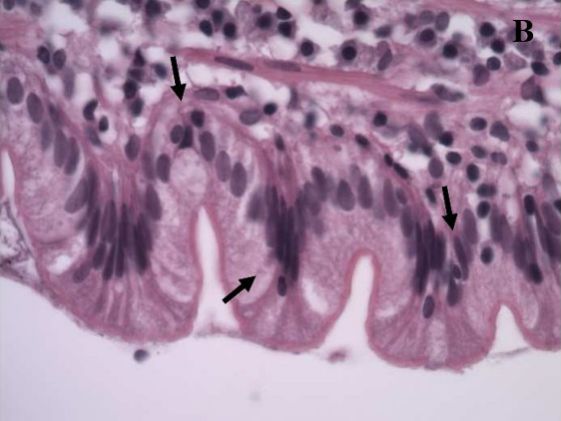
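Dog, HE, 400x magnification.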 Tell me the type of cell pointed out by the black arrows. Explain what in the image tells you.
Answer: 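Intraepithelial lymphocytes. These nuclei are smaller and denser than the elongated epithelial nuclei beside them.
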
